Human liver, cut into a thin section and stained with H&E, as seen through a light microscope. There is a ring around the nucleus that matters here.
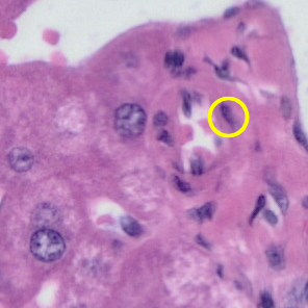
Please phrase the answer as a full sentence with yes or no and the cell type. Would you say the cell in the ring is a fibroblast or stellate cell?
Yes, the naming of the cell in the ring as a fibroblast or stellate cell is correct.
